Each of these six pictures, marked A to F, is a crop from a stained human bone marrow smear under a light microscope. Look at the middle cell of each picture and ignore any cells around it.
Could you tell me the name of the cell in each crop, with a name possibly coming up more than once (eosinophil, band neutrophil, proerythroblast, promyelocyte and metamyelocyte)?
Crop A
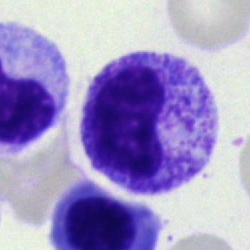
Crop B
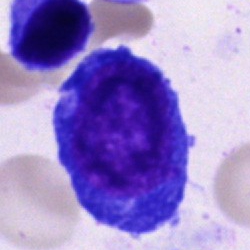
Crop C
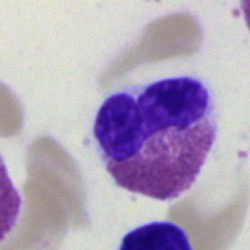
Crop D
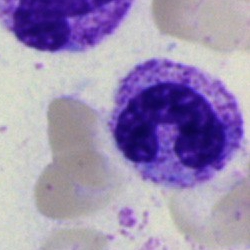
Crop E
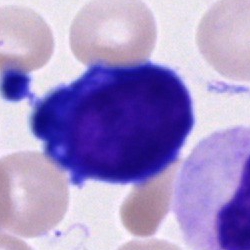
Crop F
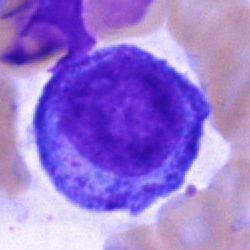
A: metamyelocyte
B: proerythroblast
C: eosinophil
D: band neutrophil
E: proerythroblast
F: promyelocyte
